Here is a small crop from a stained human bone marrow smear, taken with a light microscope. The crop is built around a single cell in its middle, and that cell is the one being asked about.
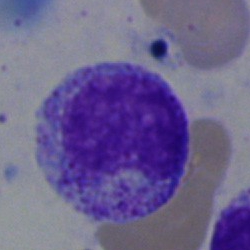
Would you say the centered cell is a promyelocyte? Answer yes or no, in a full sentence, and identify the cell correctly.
No, in the middle of the crop there is a myelocyte rather than a promyelocyte.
